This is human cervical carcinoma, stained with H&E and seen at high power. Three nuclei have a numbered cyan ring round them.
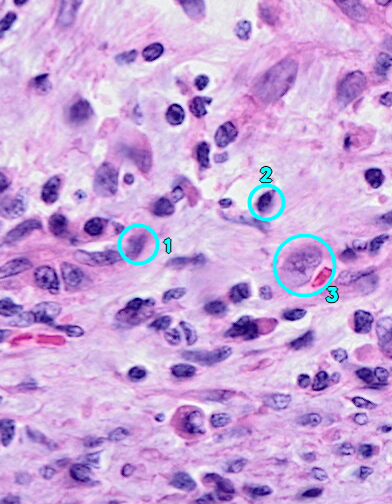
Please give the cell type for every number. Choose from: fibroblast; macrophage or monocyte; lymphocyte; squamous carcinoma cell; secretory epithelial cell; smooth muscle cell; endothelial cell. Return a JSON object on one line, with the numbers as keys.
{"1": "endothelial cell", "2": "lymphocyte", "3": "endothelial cell"}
